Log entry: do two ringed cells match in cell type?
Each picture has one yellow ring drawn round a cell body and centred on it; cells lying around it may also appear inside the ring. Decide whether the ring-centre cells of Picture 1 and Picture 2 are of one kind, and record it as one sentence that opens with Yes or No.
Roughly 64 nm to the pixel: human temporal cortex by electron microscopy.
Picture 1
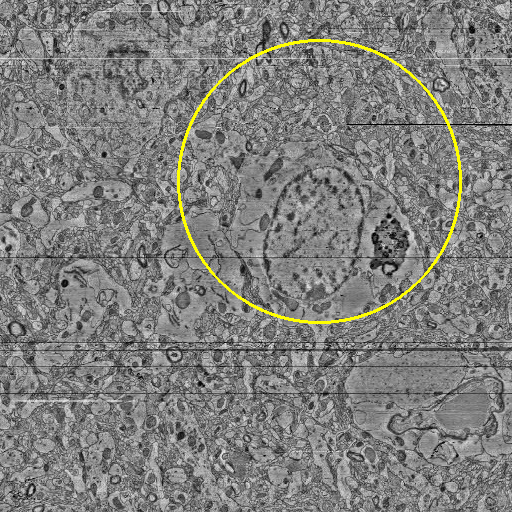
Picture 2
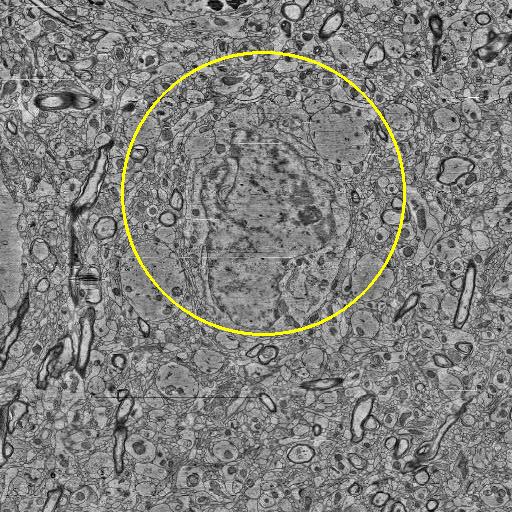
No, the cells at the ring centres of the two pictures belong to two kinds.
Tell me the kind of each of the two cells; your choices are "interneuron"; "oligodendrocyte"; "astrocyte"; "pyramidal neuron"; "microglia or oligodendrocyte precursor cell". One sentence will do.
The ringed cell is an astrocyte in the first picture and an interneuron in the second picture.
